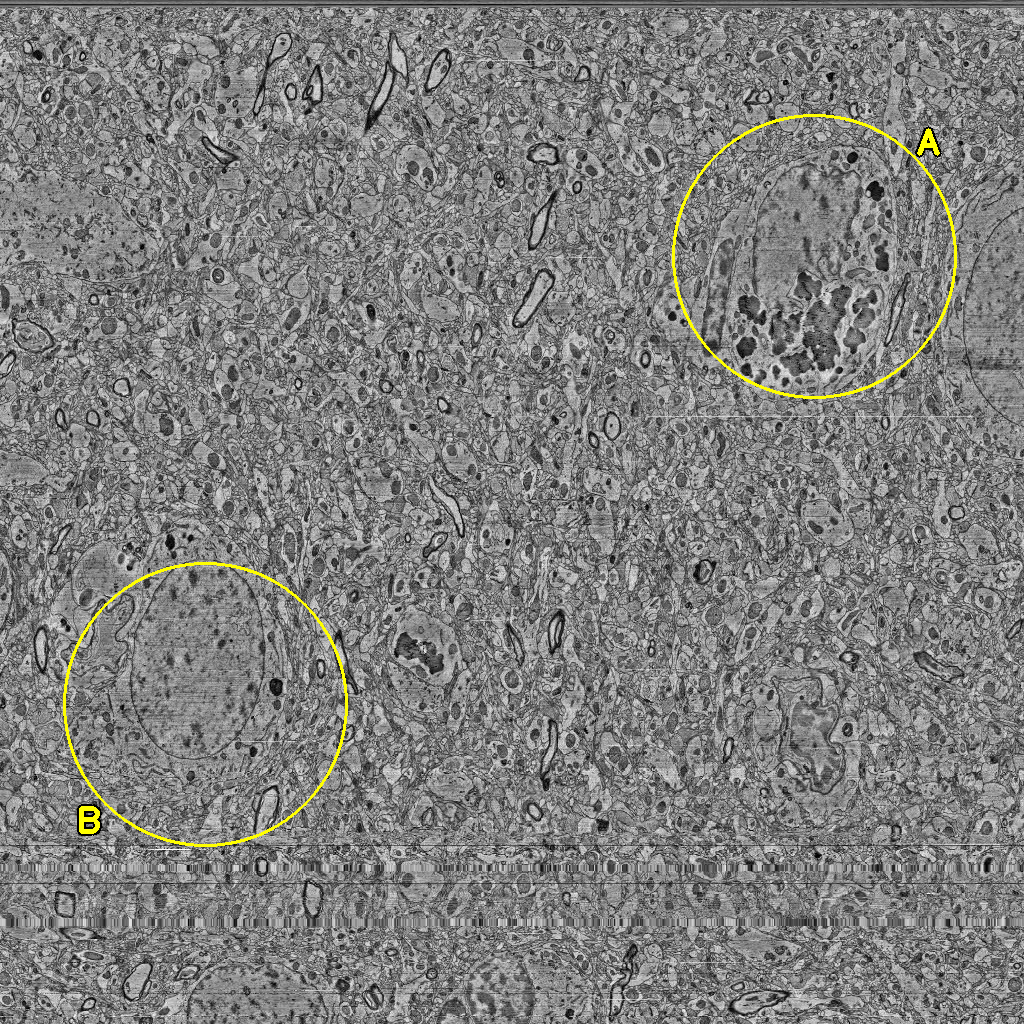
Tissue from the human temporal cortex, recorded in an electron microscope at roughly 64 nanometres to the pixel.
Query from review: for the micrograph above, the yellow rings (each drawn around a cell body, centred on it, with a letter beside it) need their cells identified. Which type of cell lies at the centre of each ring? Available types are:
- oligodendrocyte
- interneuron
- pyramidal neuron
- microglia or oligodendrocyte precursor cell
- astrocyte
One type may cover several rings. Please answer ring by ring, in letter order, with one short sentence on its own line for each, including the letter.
Ring A is drawn around an interneuron.
Ring B is drawn around a pyramidal neuron.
